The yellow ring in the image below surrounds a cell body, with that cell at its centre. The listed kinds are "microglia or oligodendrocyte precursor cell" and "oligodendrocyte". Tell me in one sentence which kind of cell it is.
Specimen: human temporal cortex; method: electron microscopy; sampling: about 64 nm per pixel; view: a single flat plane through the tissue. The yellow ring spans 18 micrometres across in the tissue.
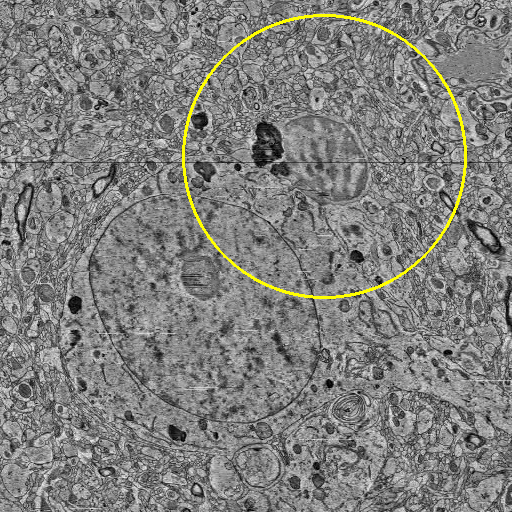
The centre of the ring holds an oligodendrocyte.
